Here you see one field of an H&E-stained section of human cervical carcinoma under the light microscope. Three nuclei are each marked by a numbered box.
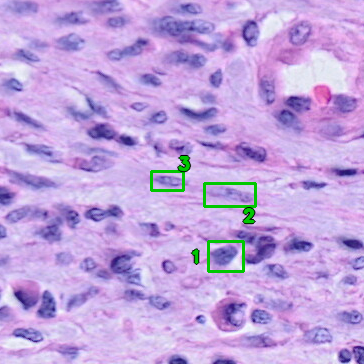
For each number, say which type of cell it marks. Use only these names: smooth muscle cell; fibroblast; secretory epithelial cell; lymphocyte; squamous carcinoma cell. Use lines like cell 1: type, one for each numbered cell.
cell 1: lymphocyte
cell 2: fibroblast
cell 3: fibroblast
